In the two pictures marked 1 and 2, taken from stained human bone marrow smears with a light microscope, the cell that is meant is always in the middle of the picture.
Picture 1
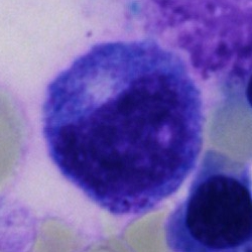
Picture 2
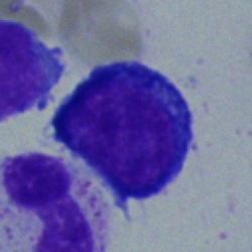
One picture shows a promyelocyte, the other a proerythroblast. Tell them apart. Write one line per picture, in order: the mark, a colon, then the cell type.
1: promyelocyte
2: proerythroblast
